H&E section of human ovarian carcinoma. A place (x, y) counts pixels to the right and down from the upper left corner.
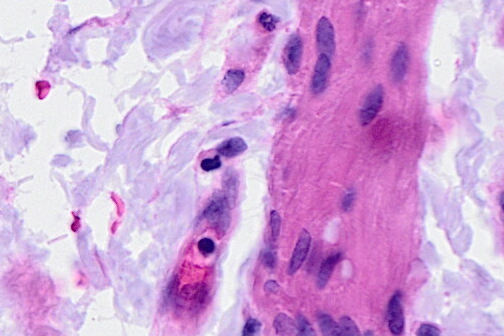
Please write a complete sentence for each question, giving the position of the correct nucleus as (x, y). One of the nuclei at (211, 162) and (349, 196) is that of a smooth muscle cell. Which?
It is at (349, 196) that the nucleus of a smooth muscle cell is found.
